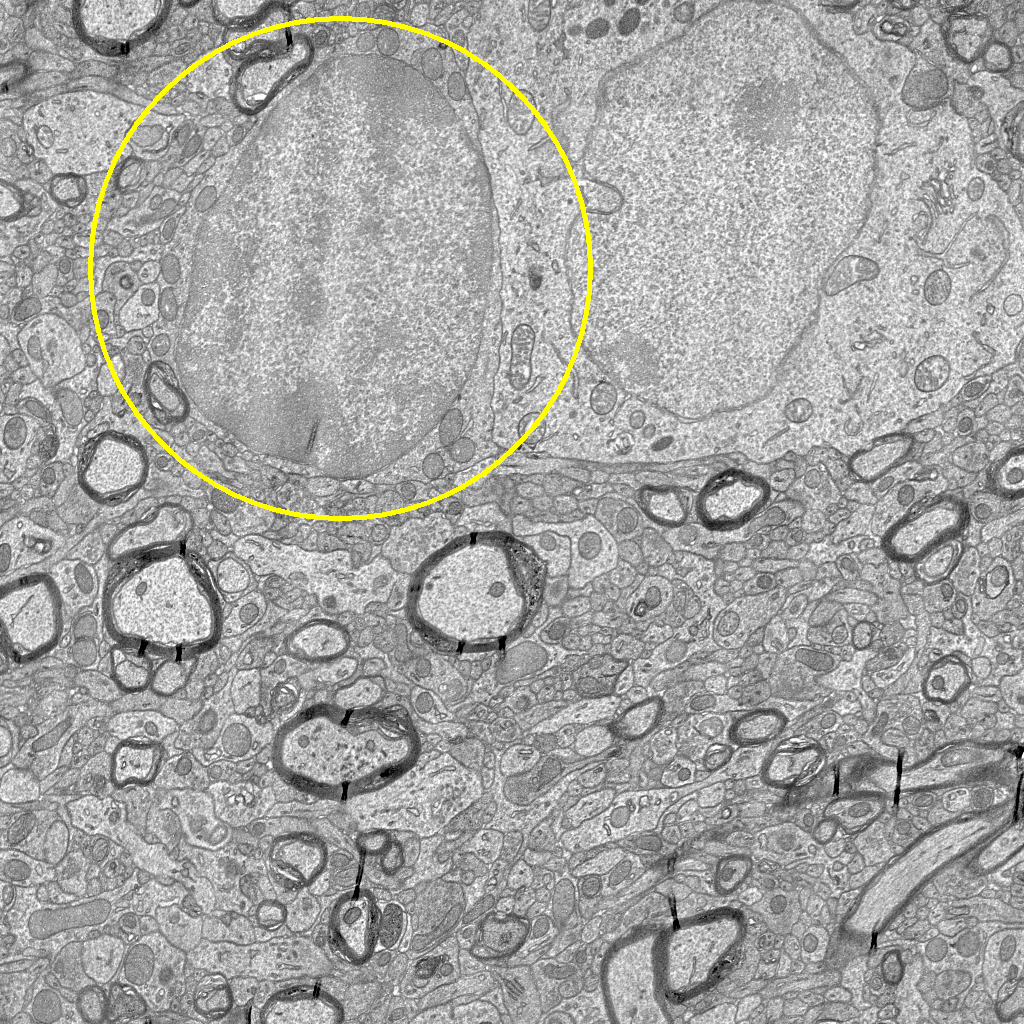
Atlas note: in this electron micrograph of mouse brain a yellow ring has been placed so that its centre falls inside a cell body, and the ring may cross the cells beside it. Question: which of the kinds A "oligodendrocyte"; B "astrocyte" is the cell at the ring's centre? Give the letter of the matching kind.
A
